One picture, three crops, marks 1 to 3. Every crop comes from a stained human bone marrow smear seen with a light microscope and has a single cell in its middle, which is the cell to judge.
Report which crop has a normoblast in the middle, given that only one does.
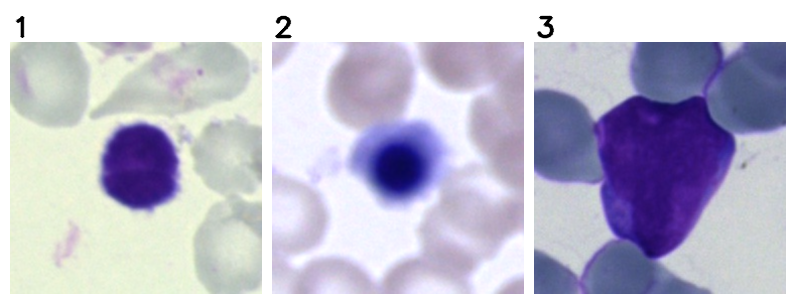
2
